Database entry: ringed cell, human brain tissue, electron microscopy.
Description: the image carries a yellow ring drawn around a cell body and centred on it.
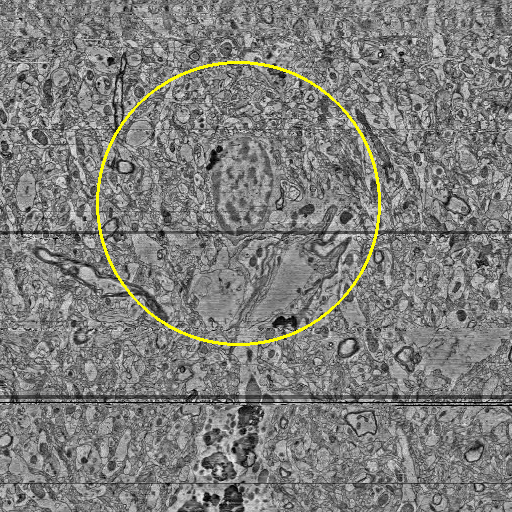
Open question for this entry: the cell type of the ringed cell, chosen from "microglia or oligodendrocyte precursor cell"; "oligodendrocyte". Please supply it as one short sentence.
The ringed cell is an oligodendrocyte.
